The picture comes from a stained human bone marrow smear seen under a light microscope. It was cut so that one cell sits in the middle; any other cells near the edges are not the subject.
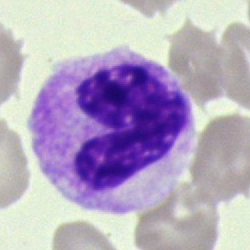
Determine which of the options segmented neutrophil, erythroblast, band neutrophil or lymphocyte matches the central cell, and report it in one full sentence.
The centrally placed cell is classified as a band neutrophil.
